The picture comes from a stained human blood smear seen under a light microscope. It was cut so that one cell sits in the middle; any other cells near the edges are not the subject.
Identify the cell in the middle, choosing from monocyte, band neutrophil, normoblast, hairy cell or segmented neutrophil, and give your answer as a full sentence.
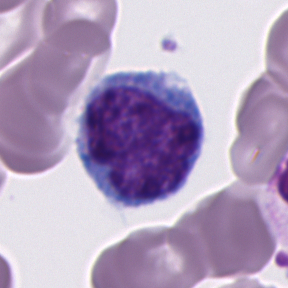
For this crop, the central cell is a monocyte.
